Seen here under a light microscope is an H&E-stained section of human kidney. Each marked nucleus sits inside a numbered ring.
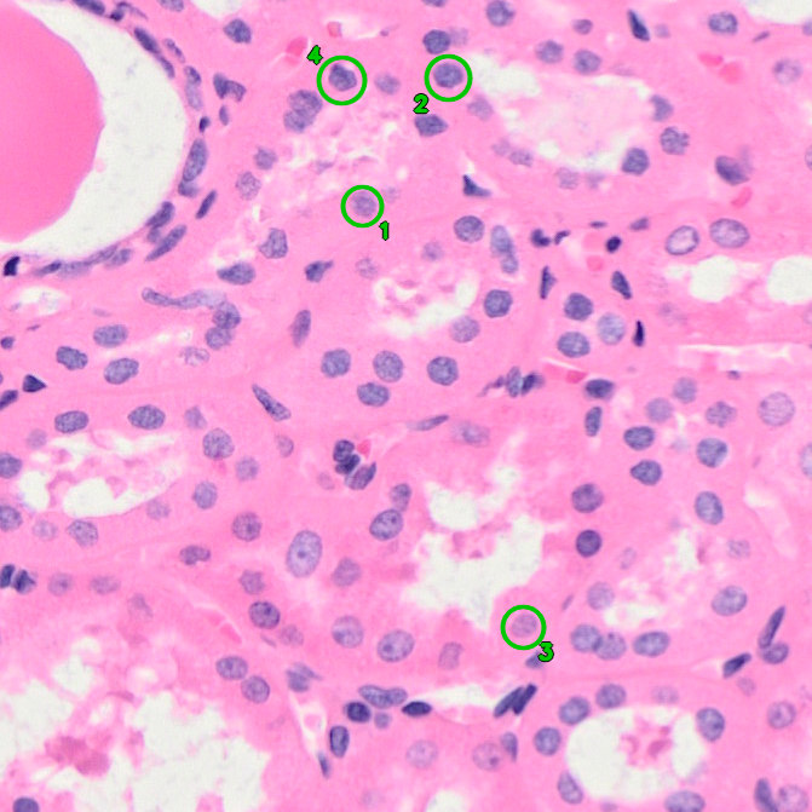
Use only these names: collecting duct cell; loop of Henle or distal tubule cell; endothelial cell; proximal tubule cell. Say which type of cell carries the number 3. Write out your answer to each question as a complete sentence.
Cell 3 in the field is a proximal tubule cell.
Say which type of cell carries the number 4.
Regarding cell 4, this one is a loop of Henle or distal tubule cell.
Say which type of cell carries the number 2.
Here the cell numbered 2 is a loop of Henle or distal tubule cell.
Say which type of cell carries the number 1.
As for number 1, that cell is a loop of Henle or distal tubule cell.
